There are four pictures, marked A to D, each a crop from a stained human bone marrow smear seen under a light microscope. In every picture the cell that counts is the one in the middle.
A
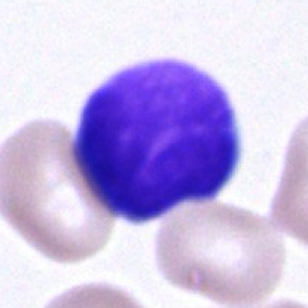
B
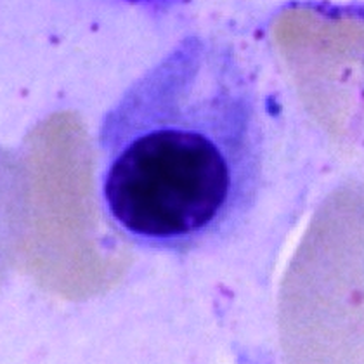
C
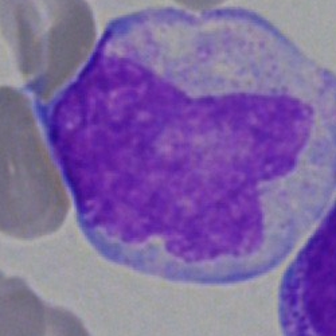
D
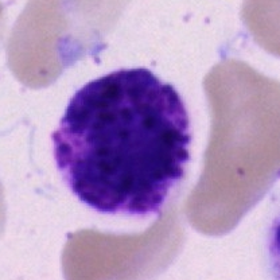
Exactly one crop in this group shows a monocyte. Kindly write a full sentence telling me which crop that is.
The crop that shows a monocyte is crop C.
